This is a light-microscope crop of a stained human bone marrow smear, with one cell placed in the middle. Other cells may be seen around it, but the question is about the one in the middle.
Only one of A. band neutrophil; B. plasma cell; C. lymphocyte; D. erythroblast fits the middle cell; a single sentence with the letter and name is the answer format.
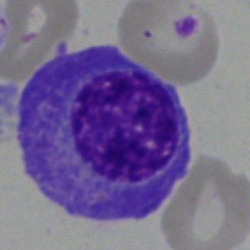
Option B is the keyed answer: the cell in the middle is a plasma cell.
